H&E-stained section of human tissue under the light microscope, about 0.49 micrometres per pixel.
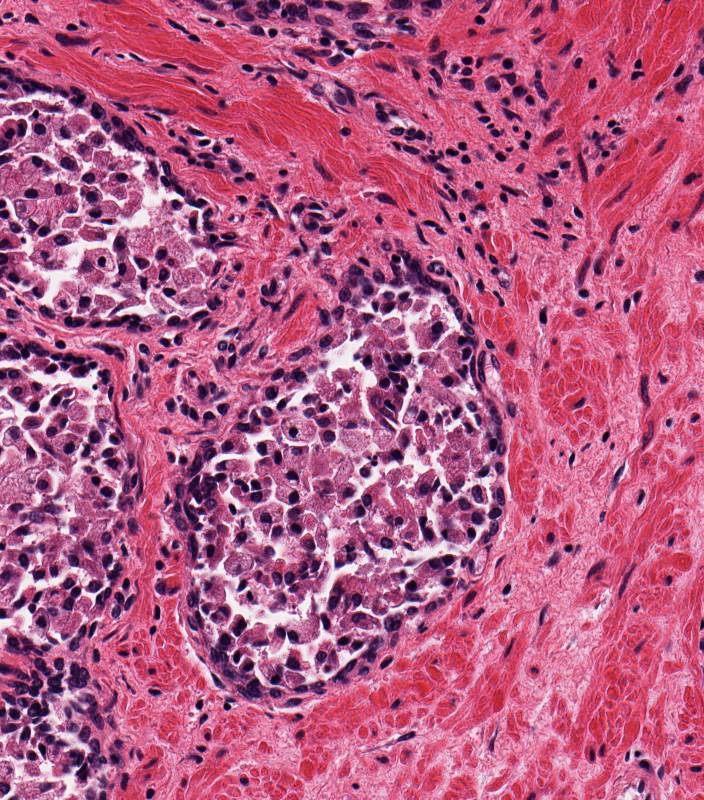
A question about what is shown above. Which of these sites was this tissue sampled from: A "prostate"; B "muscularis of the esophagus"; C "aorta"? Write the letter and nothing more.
A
